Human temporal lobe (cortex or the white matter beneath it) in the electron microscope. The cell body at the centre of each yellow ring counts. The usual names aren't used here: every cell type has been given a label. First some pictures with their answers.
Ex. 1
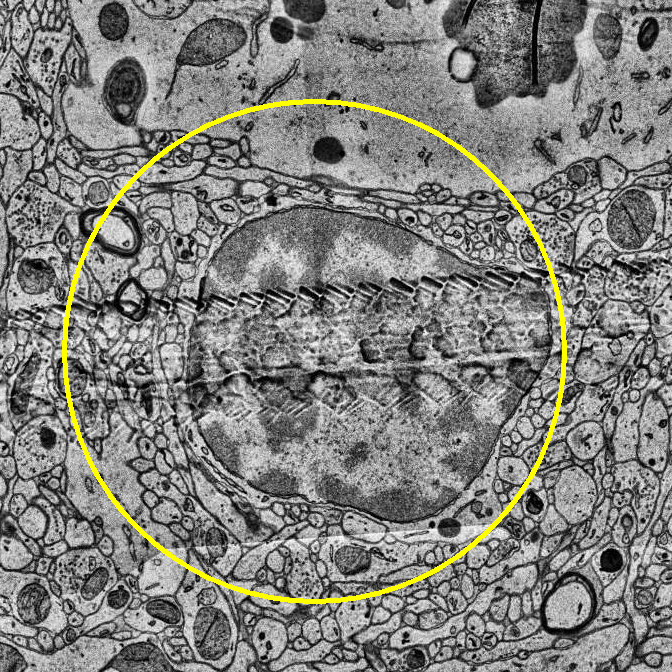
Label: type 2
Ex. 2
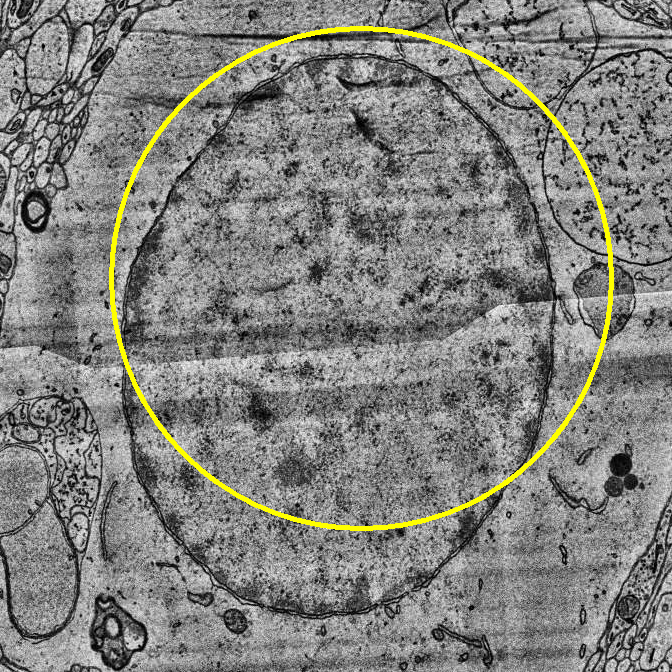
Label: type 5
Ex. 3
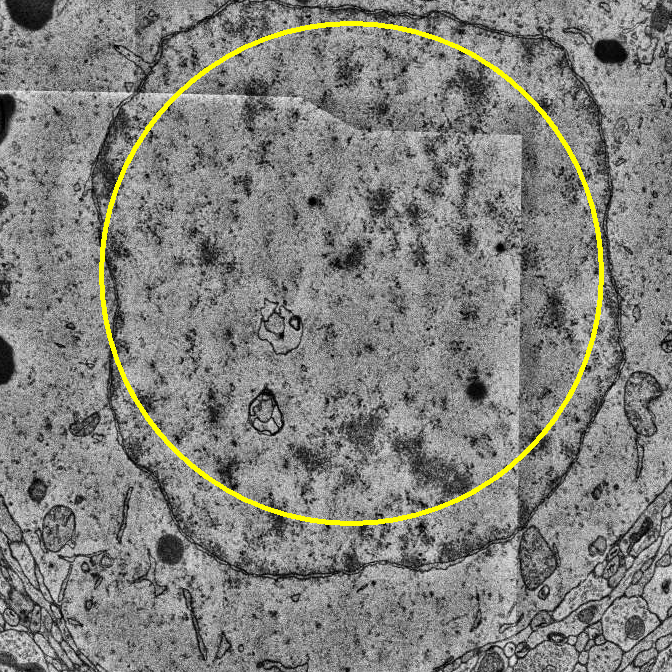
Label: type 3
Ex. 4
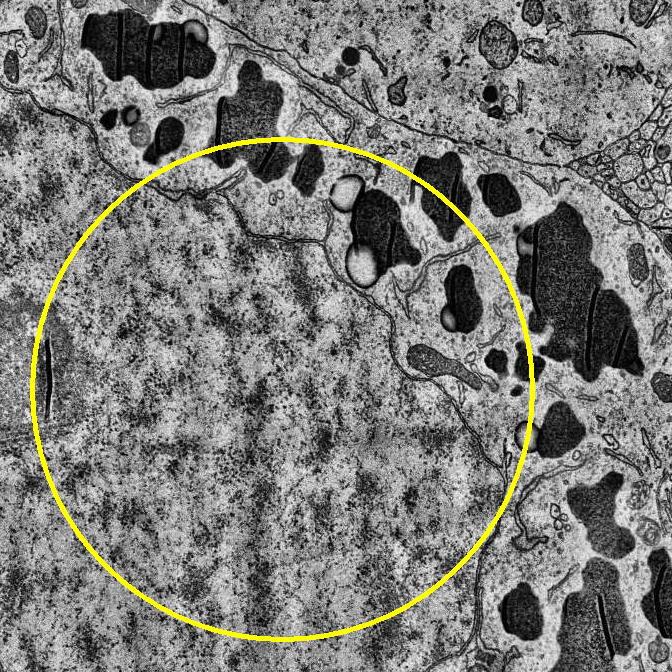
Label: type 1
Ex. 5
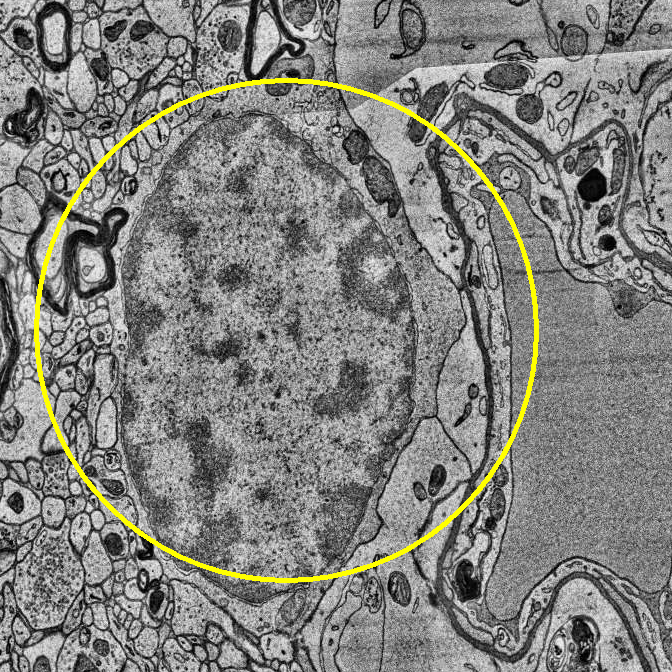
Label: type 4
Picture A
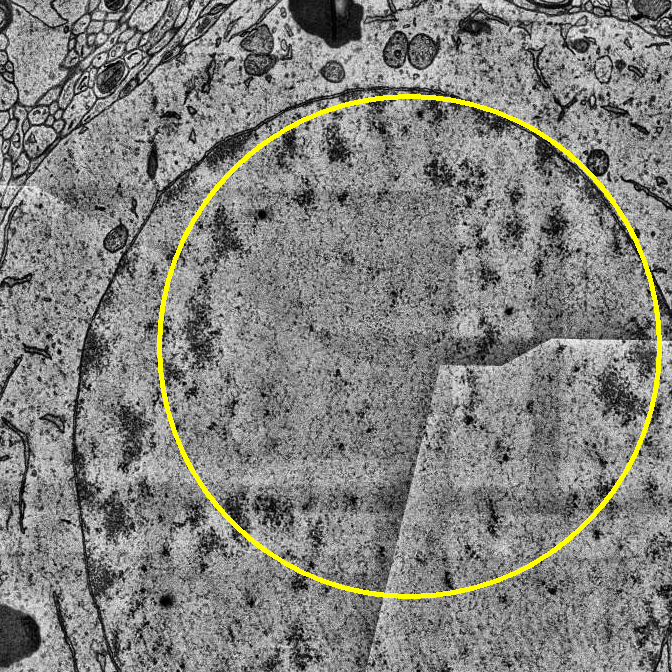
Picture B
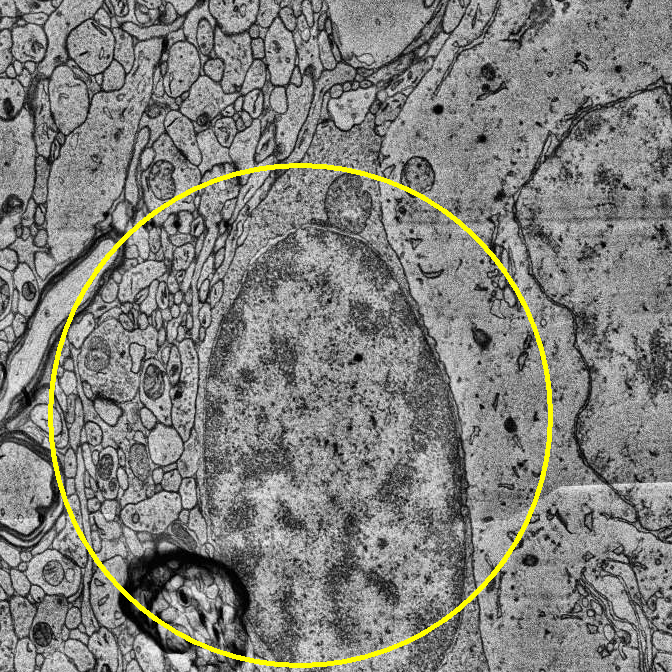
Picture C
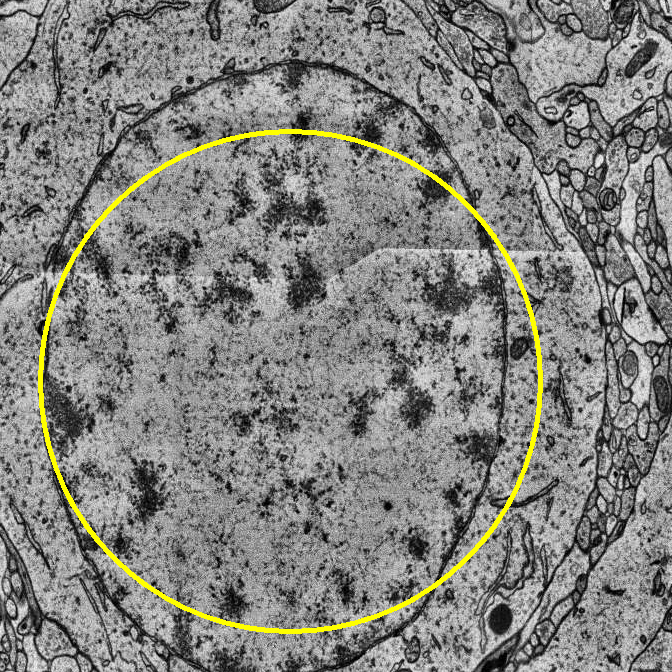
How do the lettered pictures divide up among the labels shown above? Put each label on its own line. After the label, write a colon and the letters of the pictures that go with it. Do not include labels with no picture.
type 3: A, C
type 4: B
